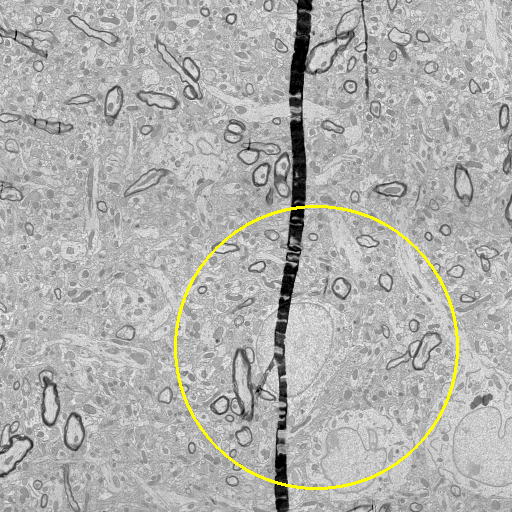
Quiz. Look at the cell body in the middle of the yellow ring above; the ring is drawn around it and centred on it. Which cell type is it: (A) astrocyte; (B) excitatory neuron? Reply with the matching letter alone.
A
